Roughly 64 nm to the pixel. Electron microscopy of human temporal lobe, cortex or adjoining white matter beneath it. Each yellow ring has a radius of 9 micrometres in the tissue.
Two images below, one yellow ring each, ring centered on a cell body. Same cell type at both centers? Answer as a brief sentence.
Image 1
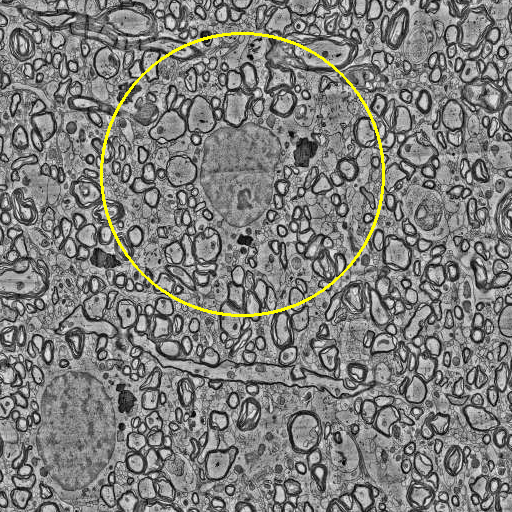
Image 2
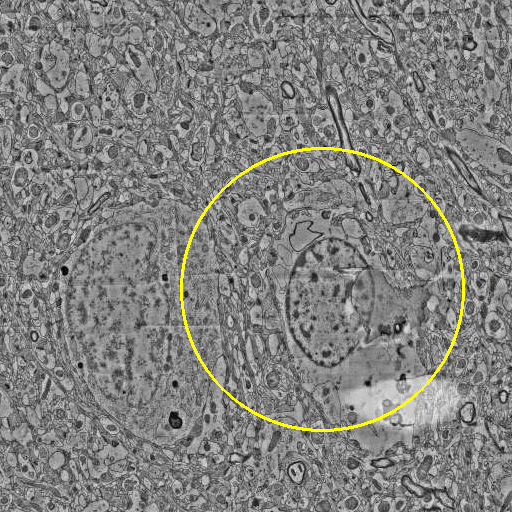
No, the cells are of two separate types.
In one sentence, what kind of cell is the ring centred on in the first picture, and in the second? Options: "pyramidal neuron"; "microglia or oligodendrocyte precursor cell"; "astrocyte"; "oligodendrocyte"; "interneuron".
The cell at the centre of the second ring is an astrocyte; the first ring's cell is an oligodendrocyte.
